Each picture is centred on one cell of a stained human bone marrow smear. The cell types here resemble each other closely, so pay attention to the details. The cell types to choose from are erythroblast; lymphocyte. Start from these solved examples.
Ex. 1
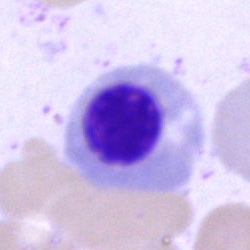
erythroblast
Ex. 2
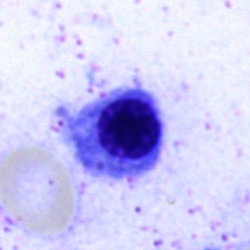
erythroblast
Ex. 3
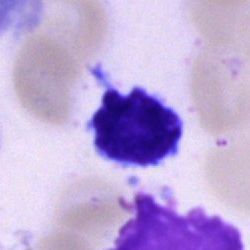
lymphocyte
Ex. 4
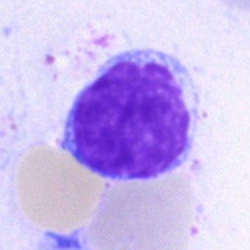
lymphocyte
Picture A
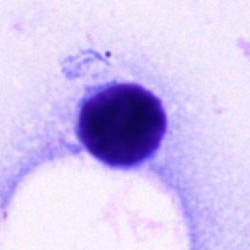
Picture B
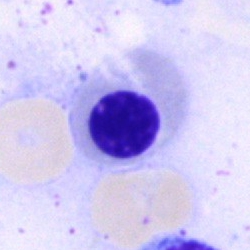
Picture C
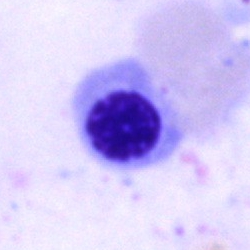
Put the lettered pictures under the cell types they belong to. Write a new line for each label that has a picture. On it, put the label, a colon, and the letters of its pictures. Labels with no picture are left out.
erythroblast: B, C
lymphocyte: A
